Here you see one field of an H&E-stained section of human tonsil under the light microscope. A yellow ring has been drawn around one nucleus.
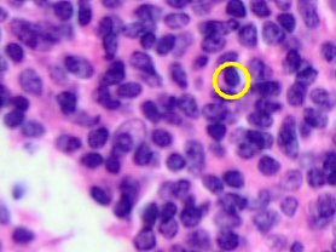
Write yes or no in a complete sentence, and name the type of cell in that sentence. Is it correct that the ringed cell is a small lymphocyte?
Yes, the identity of the ringed cell is that of a small lymphocyte.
